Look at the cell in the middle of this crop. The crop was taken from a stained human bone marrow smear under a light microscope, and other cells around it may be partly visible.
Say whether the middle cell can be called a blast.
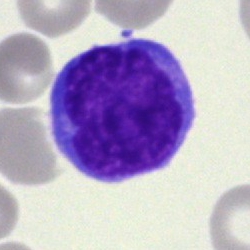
yes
